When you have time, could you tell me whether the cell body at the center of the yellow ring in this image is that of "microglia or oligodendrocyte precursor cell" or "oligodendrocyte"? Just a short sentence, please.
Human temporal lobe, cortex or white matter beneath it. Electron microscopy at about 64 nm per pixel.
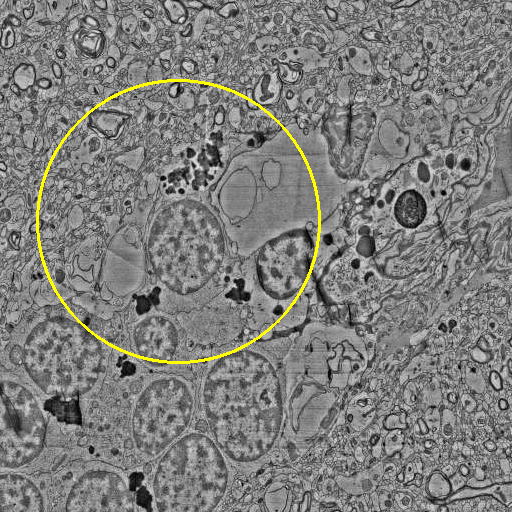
The cell body at the center of the ring is that of an oligodendrocyte.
